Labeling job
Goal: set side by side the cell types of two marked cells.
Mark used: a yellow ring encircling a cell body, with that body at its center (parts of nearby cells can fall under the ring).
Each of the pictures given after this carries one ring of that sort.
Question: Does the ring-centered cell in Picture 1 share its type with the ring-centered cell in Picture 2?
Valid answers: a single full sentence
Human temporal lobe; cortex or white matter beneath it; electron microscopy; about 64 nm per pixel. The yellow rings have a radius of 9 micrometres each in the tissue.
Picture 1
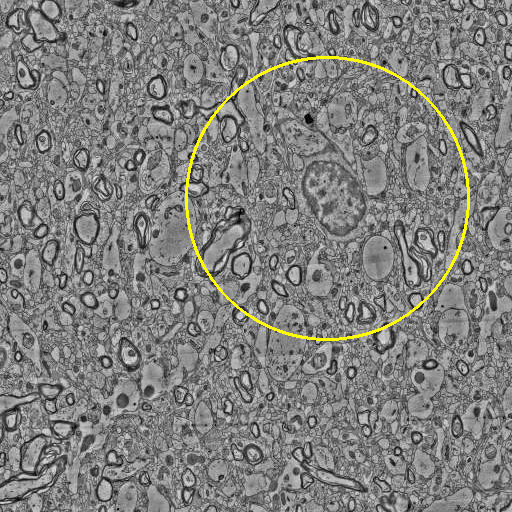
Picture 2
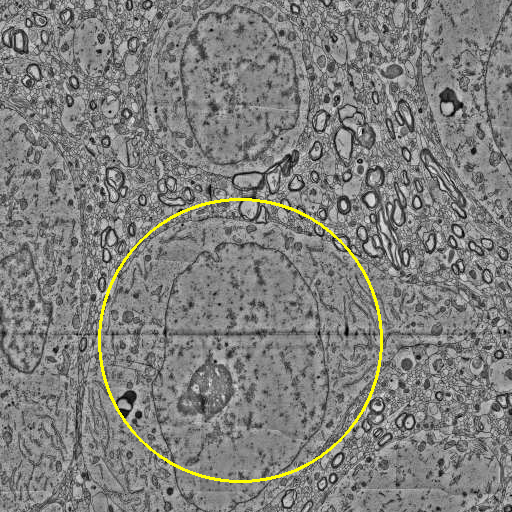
No, in Pictures 1 and 2 the cells at the ring centers have separate types.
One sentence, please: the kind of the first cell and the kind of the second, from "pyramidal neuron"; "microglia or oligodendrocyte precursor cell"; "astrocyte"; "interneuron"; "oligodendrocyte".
The ring in the first picture surrounds an oligodendrocyte, and the ring in the second surrounds a pyramidal neuron.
